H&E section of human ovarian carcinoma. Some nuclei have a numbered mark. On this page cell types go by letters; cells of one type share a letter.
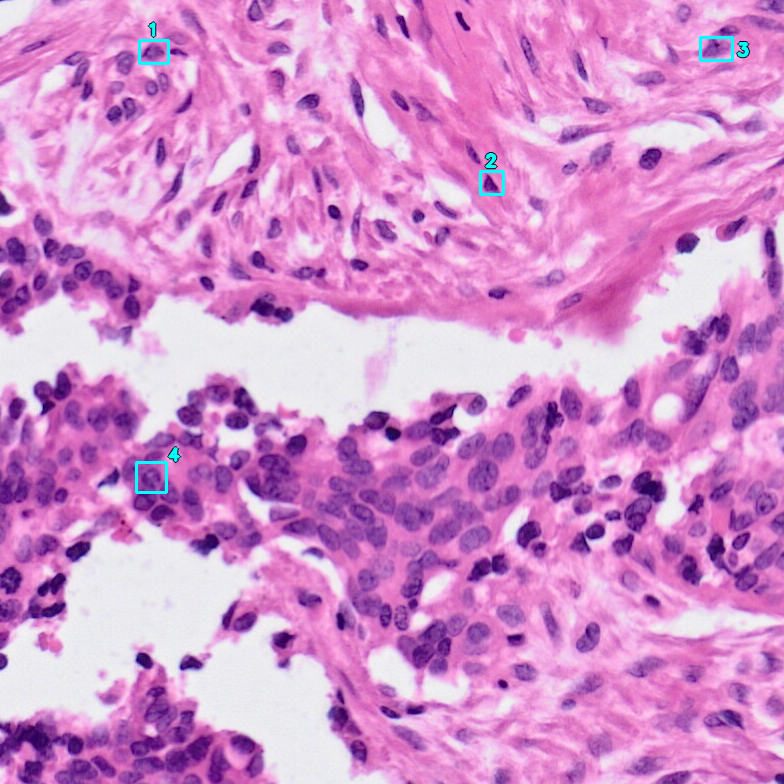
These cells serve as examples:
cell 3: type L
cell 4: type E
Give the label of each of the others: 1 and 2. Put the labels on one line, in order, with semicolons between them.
type L; type L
